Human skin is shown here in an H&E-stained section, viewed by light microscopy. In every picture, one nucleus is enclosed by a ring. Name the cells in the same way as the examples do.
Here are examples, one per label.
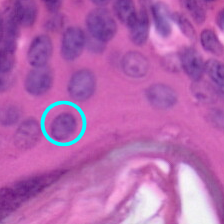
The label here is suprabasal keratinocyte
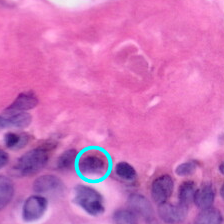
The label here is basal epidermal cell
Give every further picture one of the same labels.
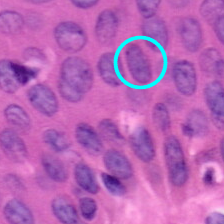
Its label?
suprabasal keratinocyte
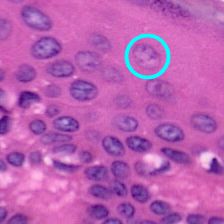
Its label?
suprabasal keratinocyte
